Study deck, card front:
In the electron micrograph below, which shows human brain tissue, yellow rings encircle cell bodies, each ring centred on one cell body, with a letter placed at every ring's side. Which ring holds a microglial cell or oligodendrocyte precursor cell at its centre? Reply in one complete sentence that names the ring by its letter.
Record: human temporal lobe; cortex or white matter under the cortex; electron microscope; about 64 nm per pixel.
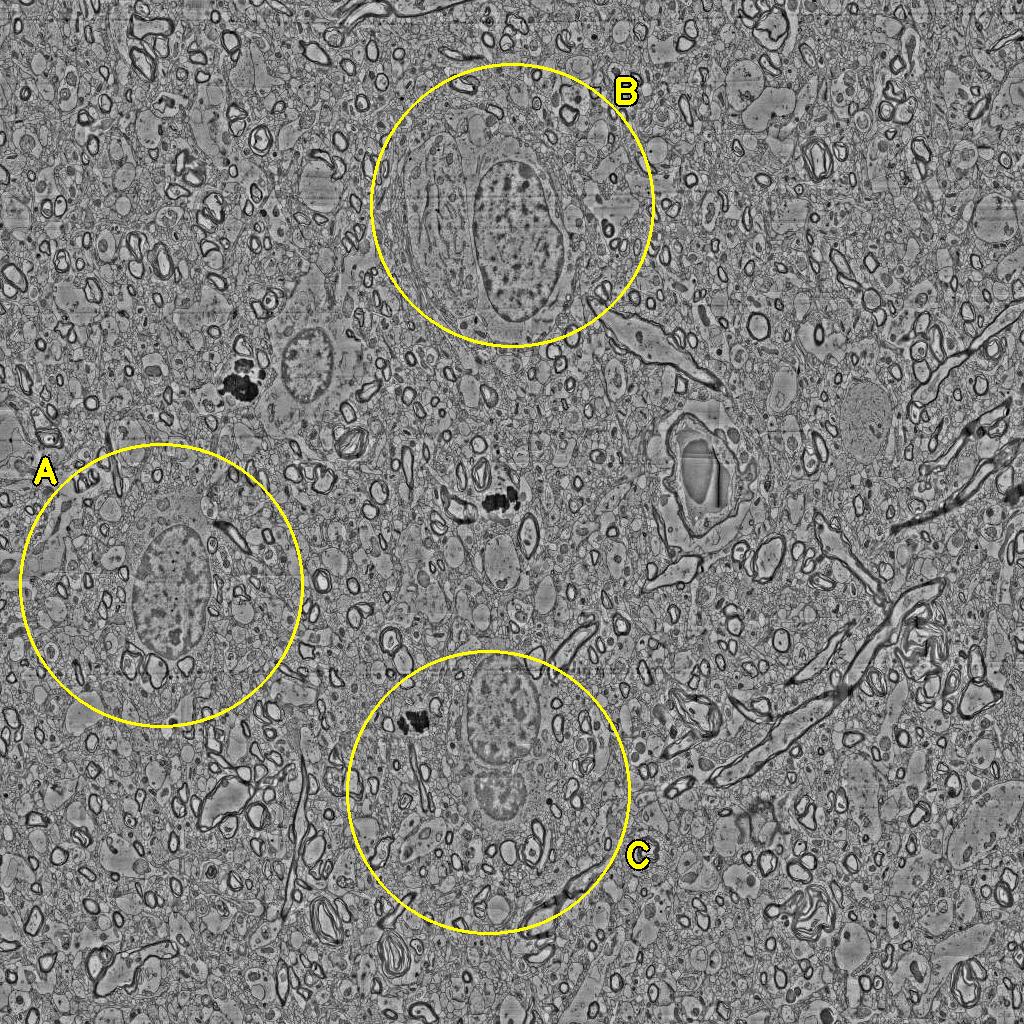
The cell asked for sits at the centre of ring B in the picture.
